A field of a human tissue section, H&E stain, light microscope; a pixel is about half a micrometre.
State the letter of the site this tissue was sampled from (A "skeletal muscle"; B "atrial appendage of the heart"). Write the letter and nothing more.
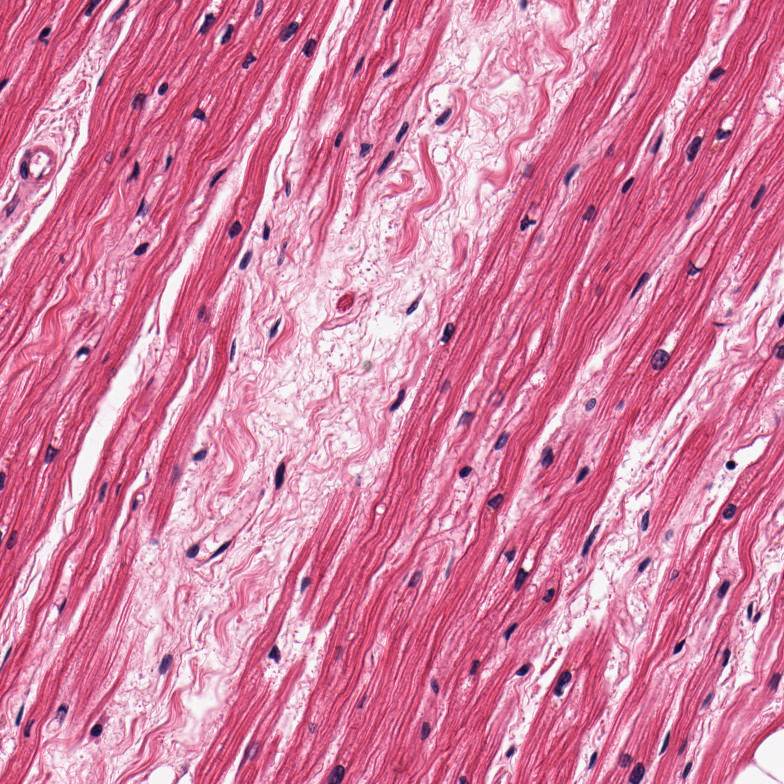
B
